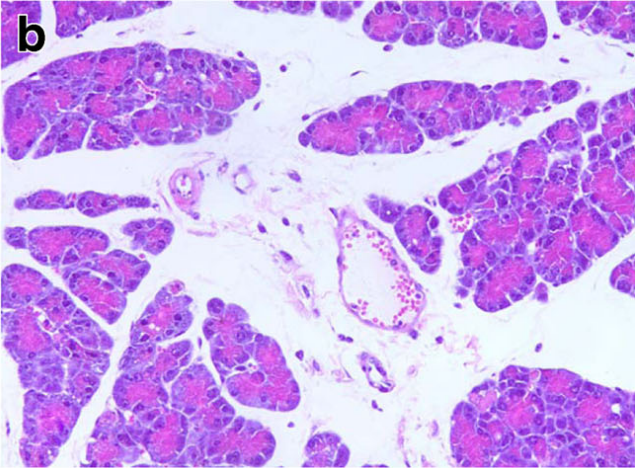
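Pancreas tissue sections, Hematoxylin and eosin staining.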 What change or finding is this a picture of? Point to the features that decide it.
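Wide pale spaces separate the groups of acini. A blood vessel lies within the widened space between lobules. So: interstitial edema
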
